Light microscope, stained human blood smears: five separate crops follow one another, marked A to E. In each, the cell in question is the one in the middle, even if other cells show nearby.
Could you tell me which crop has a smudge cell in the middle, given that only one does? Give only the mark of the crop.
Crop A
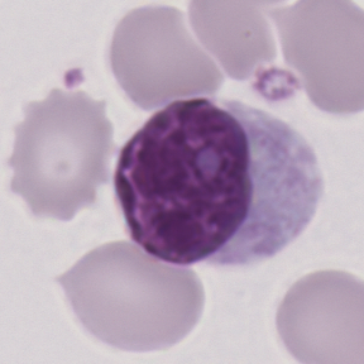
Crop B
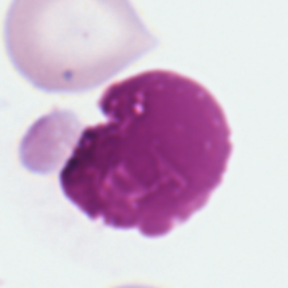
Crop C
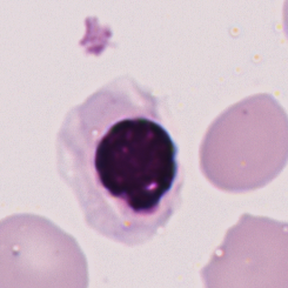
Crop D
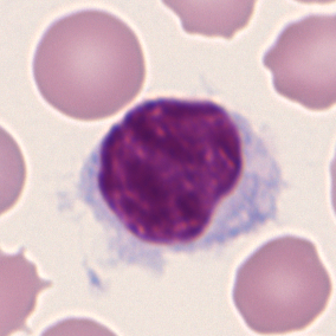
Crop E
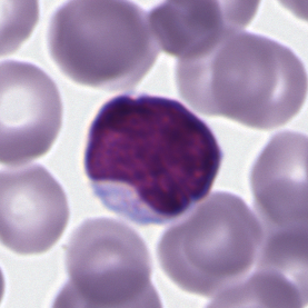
B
